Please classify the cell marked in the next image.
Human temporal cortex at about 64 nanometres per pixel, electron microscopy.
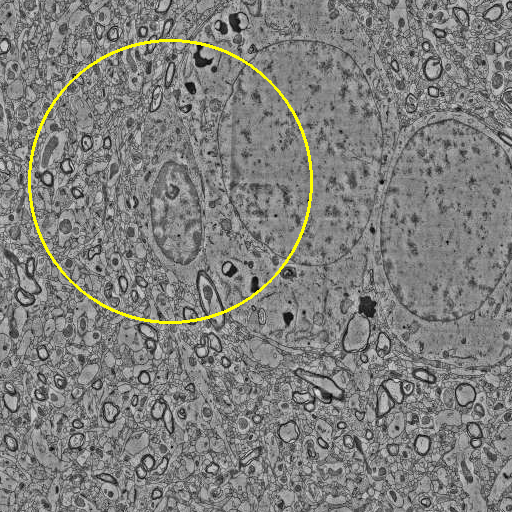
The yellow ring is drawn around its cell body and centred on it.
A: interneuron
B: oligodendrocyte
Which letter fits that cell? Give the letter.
B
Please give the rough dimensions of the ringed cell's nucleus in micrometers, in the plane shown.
About 7 by 3 micrometers for the nucleus, in this plane.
